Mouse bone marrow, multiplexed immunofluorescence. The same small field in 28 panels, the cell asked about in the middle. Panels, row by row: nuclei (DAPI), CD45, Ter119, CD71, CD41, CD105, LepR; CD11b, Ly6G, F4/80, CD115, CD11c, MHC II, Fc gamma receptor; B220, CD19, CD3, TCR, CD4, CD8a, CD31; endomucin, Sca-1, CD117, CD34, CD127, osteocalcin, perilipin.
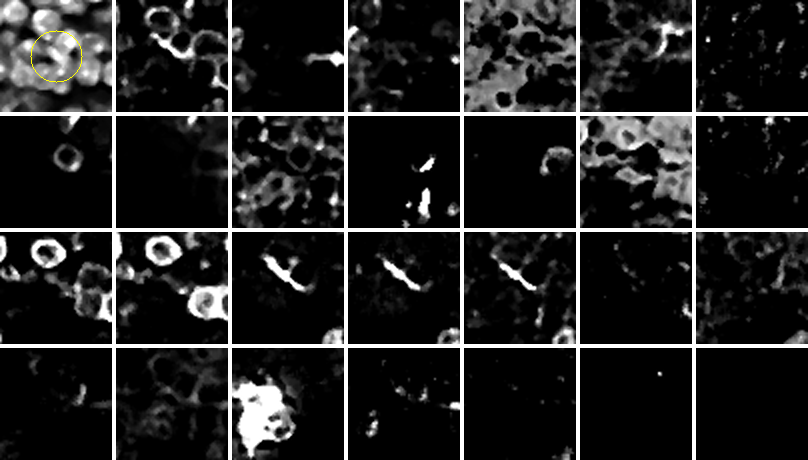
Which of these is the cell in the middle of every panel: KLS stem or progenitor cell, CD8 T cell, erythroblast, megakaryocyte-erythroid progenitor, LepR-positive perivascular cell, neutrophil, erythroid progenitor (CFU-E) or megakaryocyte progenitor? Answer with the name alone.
megakaryocyte progenitor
